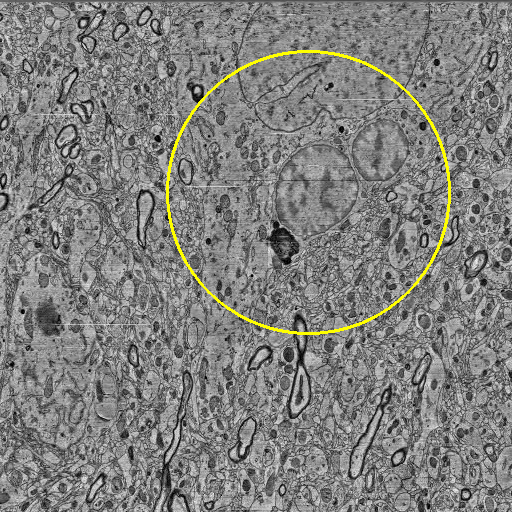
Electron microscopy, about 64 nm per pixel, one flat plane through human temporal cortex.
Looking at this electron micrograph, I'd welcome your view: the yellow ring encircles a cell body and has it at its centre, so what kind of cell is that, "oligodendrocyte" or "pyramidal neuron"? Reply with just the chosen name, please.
oligodendrocyte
